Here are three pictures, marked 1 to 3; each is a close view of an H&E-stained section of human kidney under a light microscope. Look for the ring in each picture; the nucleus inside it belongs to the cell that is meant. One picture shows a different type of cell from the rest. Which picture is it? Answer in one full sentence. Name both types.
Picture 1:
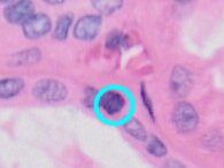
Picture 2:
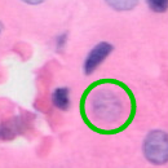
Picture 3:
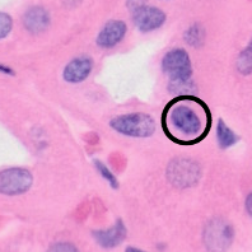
The different one is picture 2; it shows a proximal tubule cell, whereas all the others show collecting duct cells.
